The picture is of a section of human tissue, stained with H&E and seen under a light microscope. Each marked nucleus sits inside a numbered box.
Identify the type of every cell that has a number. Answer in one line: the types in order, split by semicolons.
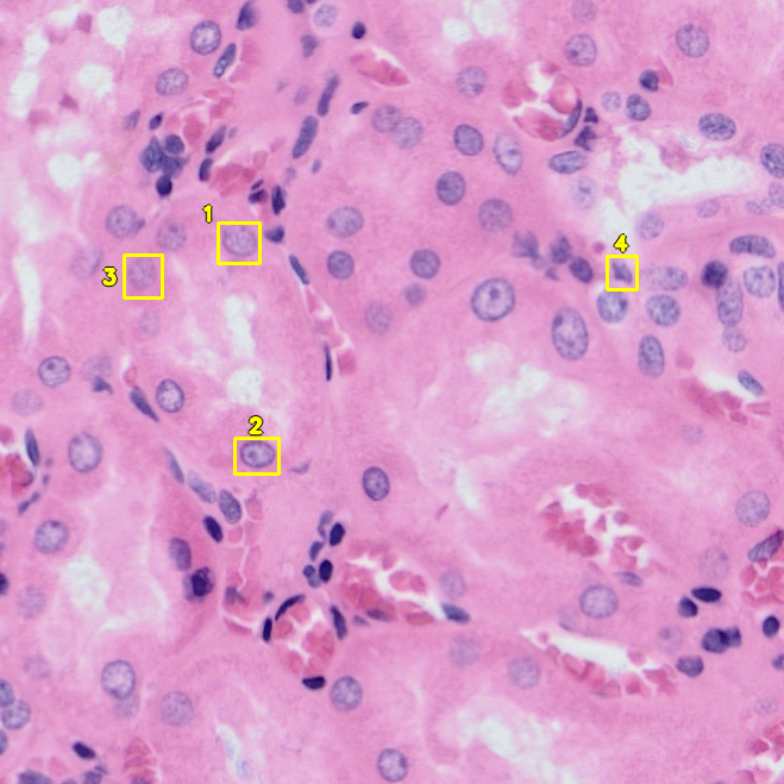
proximal tubule cell; proximal tubule cell; proximal tubule cell; collecting duct cell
